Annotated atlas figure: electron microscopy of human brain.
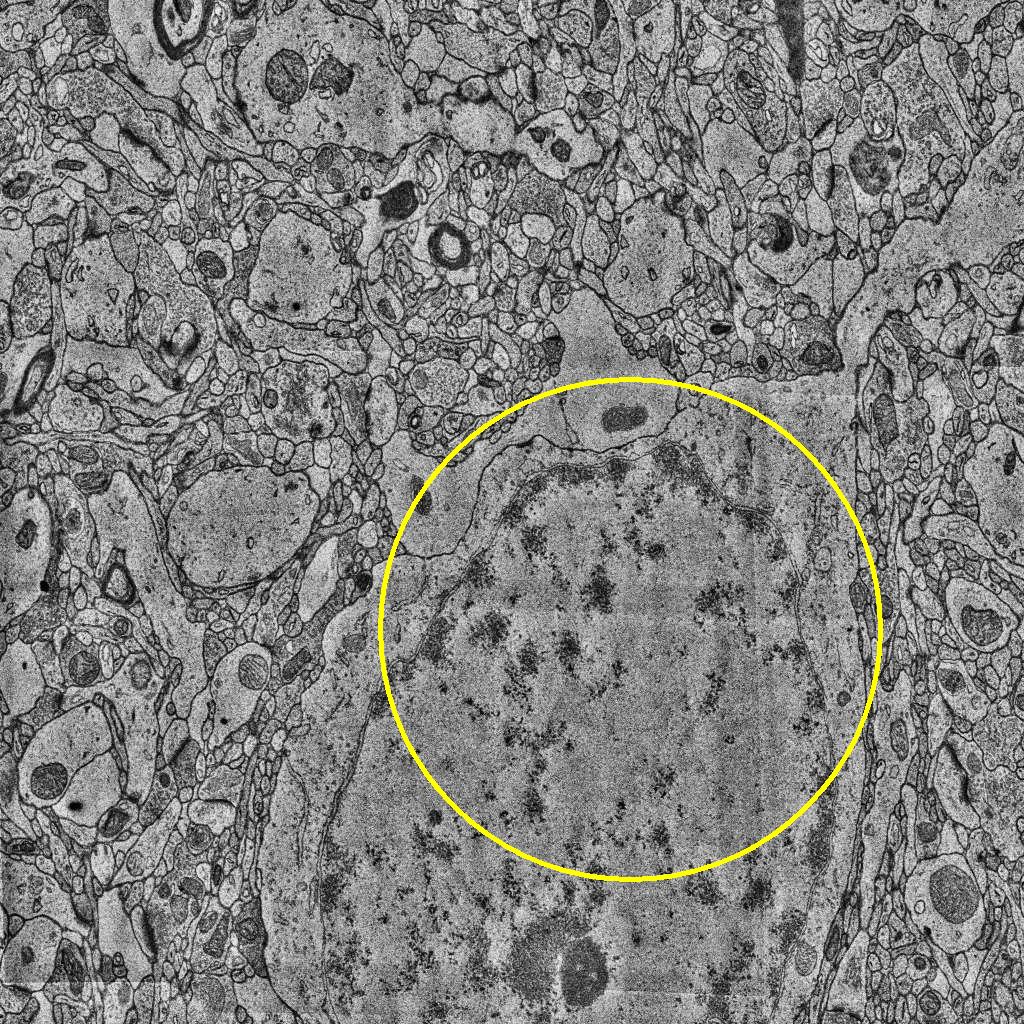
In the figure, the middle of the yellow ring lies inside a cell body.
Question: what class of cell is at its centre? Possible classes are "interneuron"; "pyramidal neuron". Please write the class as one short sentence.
The yellow ring's centre lies in an interneuron.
